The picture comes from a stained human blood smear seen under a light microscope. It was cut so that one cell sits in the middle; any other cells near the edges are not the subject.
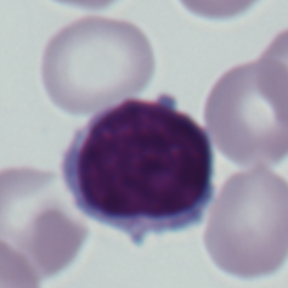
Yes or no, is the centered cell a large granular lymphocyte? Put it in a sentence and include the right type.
No, rather than a large granular lymphocyte, the central cell is a typical lymphocyte.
